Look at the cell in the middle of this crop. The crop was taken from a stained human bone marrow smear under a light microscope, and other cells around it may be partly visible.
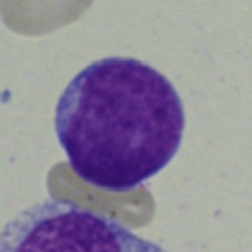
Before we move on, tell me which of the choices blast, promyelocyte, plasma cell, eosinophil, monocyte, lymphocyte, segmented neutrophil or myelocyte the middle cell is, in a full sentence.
In the crop, the cell of interest at the centre is a blast.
